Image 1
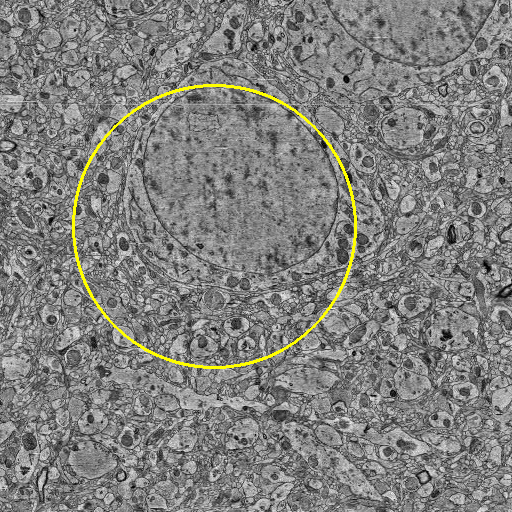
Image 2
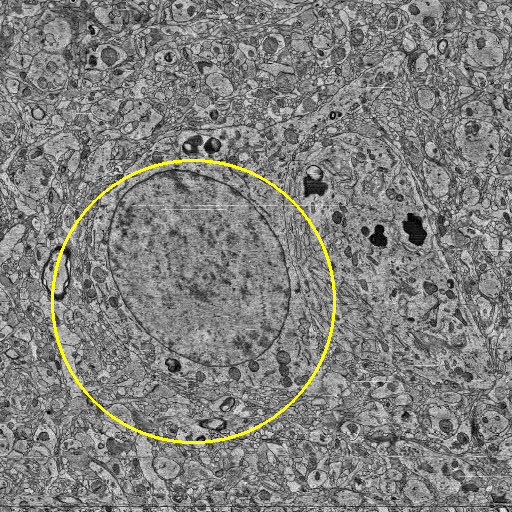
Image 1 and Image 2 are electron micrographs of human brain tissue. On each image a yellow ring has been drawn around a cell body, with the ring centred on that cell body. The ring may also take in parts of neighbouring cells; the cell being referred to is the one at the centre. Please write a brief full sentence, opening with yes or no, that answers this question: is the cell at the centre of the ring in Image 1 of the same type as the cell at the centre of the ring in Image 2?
Yes, both cells are of the same type.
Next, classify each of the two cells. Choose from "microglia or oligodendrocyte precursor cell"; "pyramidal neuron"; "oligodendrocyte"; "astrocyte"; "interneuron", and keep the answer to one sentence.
The ring centre holds a pyramidal neuron in each of the two pictures.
